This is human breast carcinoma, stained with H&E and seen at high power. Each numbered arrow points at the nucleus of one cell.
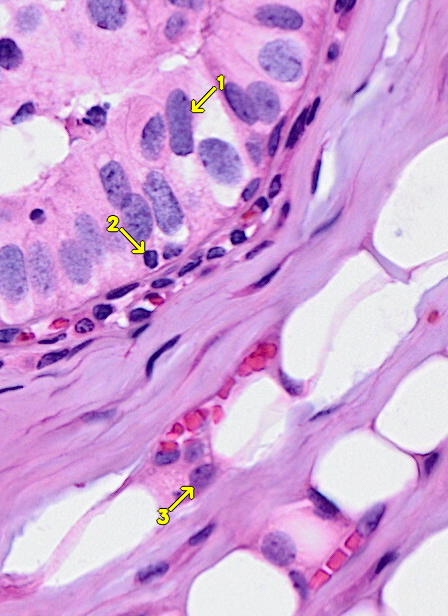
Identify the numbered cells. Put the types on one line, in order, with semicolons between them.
carcinoma cell; lymphocyte; endothelial cell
